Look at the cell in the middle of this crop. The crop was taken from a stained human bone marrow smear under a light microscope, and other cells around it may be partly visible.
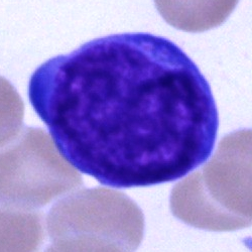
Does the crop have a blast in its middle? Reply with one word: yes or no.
yes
